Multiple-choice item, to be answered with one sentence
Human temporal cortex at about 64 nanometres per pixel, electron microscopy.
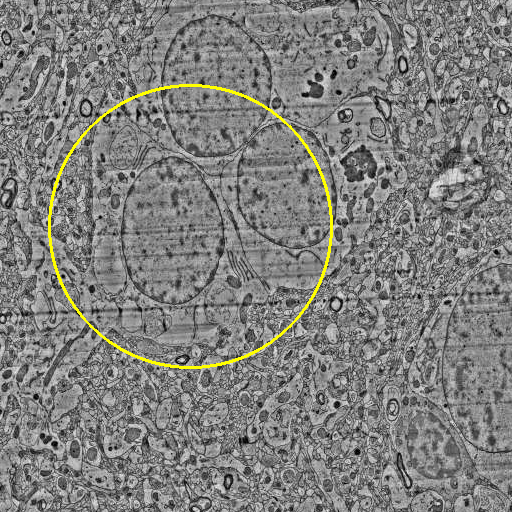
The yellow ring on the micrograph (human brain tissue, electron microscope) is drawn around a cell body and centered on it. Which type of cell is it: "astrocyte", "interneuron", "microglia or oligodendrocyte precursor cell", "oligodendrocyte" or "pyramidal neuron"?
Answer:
The ring is centered on an astrocyte.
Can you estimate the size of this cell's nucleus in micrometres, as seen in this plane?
In this plane, the nucleus is roughly 9 by 7 micrometres.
